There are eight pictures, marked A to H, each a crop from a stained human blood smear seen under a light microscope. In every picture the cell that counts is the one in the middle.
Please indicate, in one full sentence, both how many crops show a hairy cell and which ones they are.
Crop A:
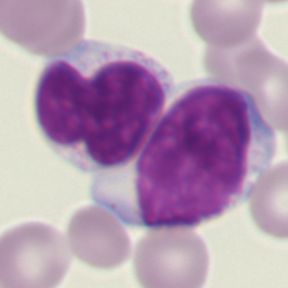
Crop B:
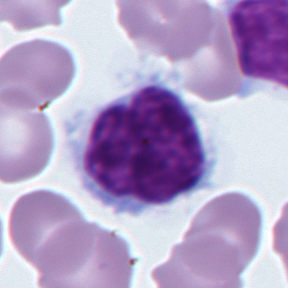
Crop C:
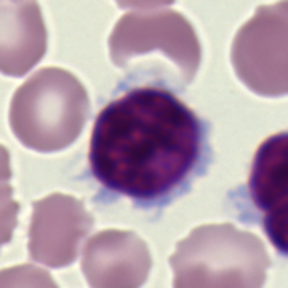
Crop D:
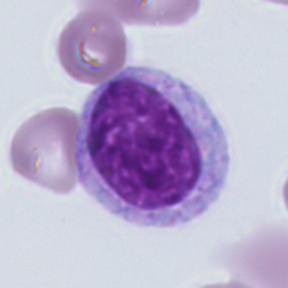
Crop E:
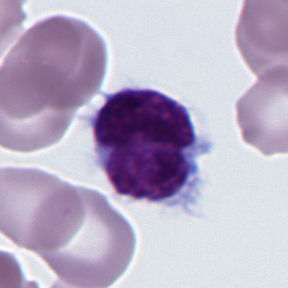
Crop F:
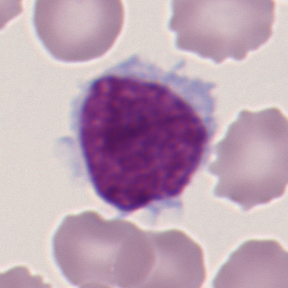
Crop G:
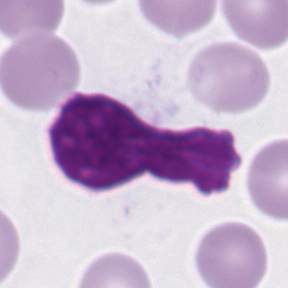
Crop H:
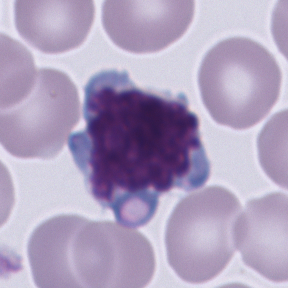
It is crops B, C, E and F, four in all, that show hairy cells.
